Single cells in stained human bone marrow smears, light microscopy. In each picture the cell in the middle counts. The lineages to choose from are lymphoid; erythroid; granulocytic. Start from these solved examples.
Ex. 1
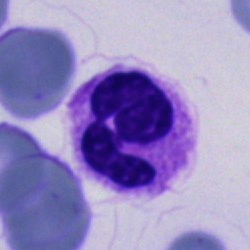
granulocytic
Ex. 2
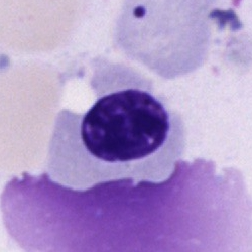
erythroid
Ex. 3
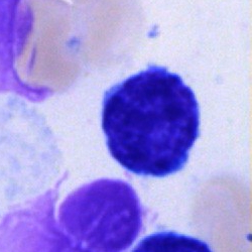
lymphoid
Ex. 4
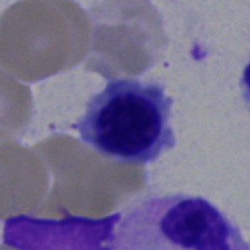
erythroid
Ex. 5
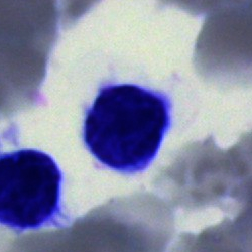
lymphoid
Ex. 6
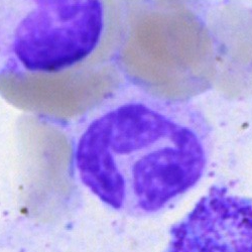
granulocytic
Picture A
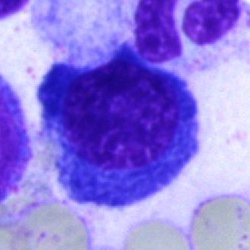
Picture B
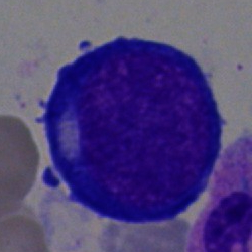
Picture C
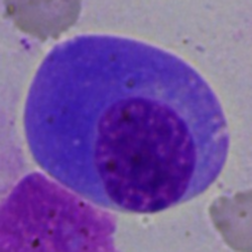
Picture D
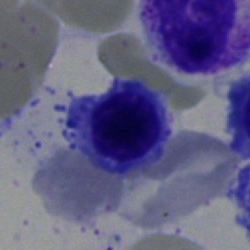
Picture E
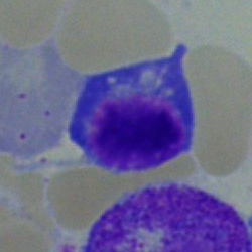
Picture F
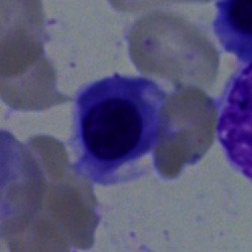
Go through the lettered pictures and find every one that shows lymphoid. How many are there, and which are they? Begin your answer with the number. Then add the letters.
Count: 2 (C, E)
